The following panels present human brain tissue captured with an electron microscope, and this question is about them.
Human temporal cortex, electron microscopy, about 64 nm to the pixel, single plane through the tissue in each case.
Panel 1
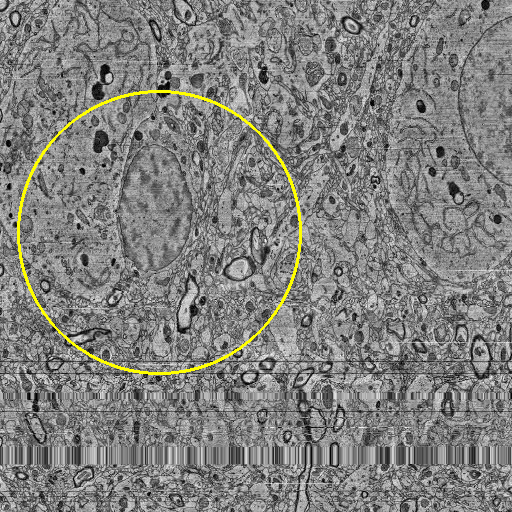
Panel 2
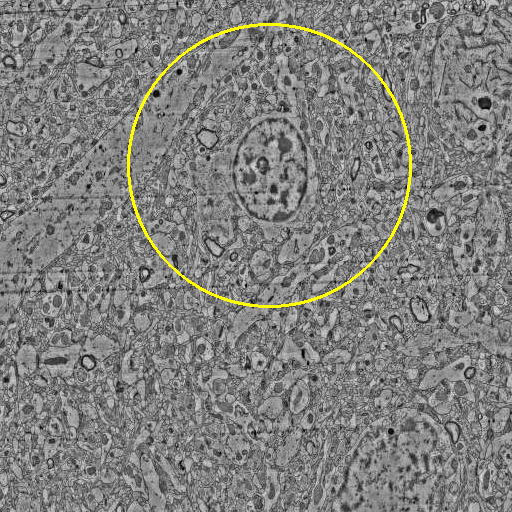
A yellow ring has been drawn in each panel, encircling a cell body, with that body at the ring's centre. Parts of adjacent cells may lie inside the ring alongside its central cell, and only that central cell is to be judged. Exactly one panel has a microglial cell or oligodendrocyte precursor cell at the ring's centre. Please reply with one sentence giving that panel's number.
The ring whose central cell fits the description is the one in panel 2.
